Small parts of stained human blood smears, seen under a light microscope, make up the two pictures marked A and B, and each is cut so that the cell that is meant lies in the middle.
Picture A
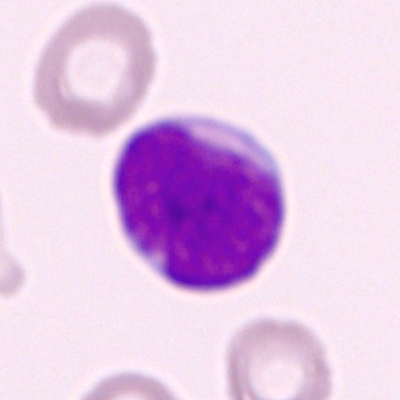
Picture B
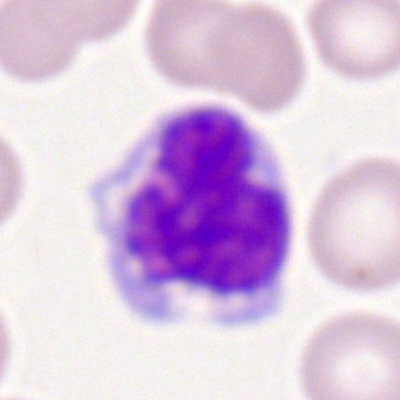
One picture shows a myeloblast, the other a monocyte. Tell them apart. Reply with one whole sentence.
Picture B shows a monocyte, while picture A shows a myeloblast.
